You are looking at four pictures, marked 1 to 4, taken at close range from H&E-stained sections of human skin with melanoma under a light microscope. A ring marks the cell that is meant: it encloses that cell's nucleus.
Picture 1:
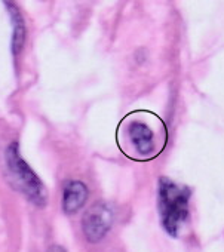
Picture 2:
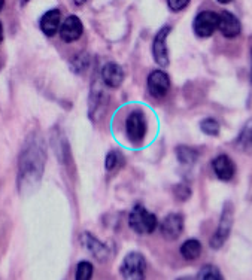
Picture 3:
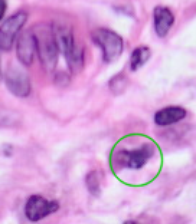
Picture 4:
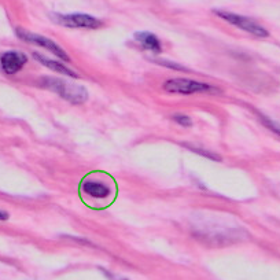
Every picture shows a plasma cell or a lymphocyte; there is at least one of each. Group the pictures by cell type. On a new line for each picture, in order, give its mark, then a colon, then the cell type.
1: lymphocyte
2: plasma cell
3: plasma cell
4: lymphocyte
